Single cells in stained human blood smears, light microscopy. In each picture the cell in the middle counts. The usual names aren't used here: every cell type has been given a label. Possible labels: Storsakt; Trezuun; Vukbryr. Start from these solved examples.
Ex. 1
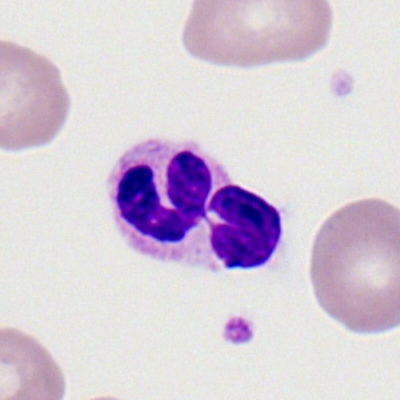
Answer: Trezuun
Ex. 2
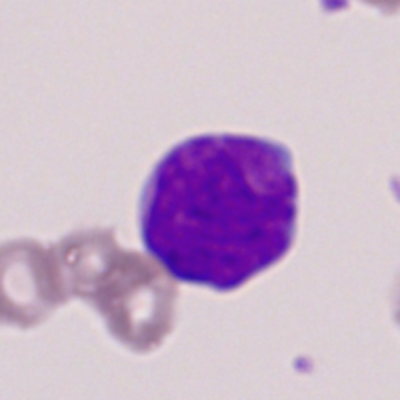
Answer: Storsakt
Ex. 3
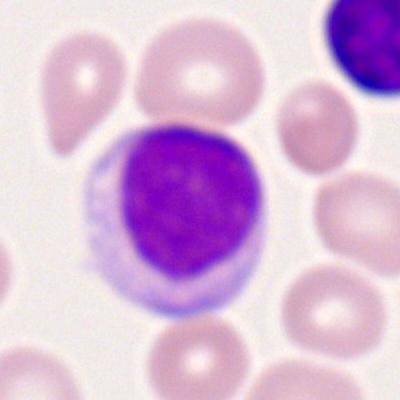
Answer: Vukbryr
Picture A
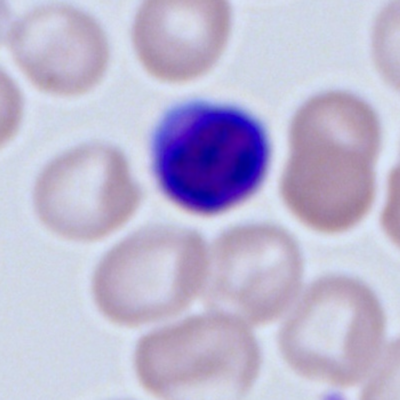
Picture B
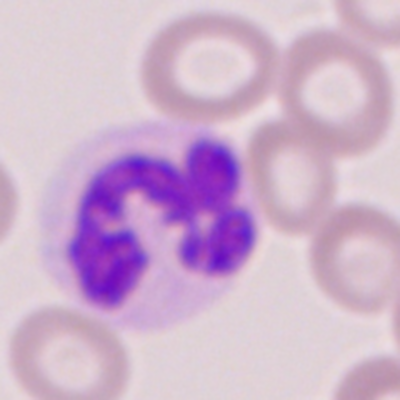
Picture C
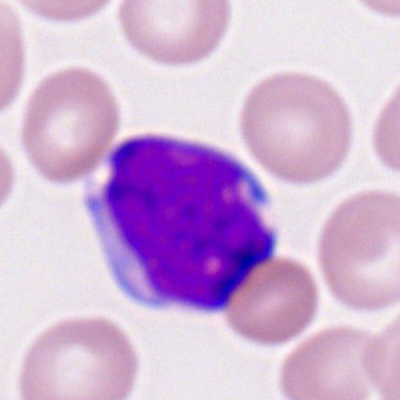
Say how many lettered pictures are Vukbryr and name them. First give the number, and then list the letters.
Count: 1 (A)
